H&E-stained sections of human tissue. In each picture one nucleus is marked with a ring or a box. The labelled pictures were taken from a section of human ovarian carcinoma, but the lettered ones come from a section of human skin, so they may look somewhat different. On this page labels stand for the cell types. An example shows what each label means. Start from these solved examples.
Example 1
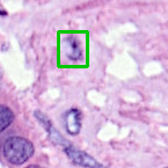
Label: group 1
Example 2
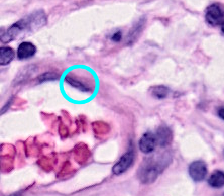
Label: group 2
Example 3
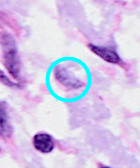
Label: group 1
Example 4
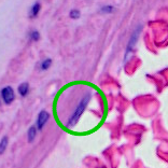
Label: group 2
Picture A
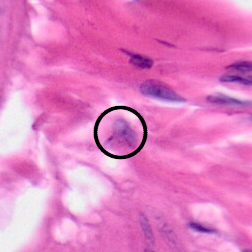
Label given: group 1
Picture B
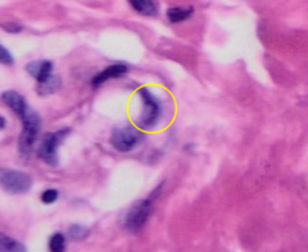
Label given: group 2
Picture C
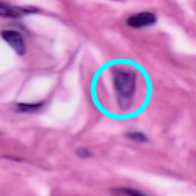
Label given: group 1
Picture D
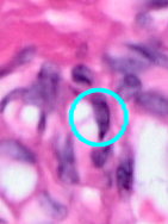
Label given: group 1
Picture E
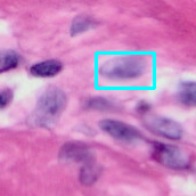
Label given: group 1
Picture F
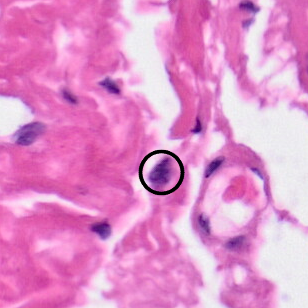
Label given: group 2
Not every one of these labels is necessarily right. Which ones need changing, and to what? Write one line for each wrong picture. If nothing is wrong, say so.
D: group 2, not group 1
F: group 1, not group 2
